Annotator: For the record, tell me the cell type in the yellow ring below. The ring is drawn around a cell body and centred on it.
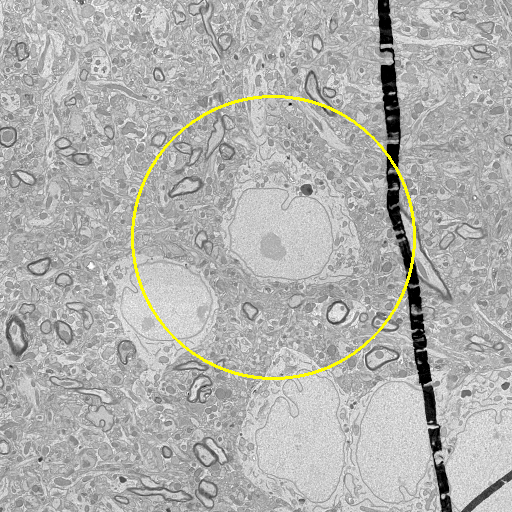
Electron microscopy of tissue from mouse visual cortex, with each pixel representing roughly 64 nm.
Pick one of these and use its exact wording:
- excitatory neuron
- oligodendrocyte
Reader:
excitatory neuron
